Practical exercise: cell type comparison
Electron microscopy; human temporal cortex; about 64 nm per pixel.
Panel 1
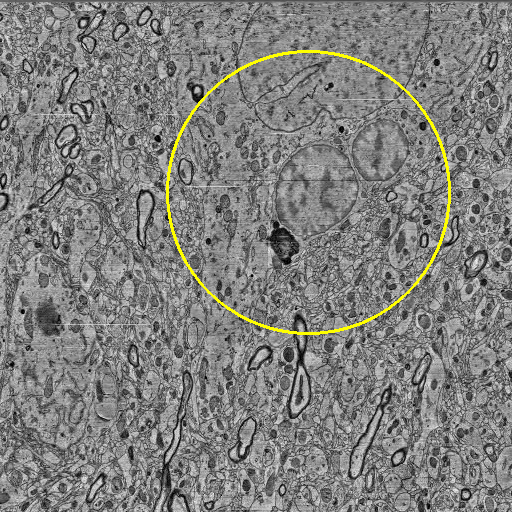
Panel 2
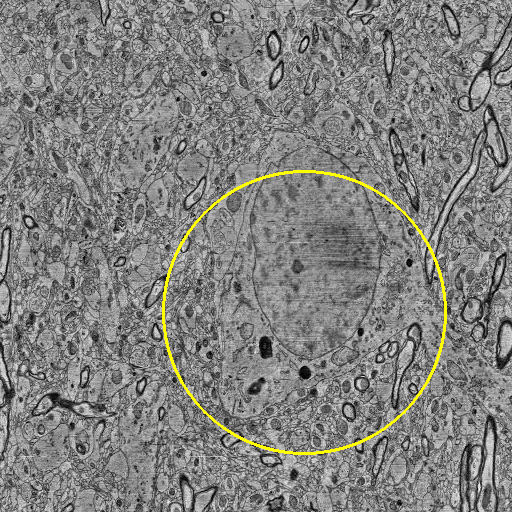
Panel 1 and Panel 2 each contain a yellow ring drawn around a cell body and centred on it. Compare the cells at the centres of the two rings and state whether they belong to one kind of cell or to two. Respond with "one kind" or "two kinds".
two kinds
